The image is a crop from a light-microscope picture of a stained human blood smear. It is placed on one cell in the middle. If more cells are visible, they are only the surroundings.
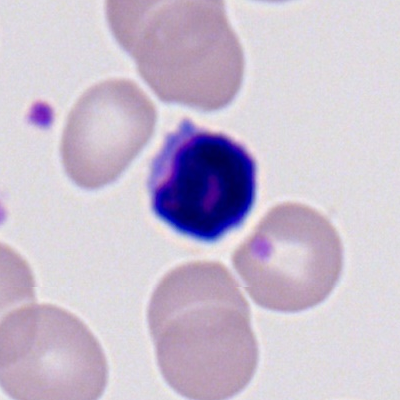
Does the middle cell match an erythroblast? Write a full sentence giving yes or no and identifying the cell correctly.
No; rather than an erythroblast, the cell at the center is a lymphocyte.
